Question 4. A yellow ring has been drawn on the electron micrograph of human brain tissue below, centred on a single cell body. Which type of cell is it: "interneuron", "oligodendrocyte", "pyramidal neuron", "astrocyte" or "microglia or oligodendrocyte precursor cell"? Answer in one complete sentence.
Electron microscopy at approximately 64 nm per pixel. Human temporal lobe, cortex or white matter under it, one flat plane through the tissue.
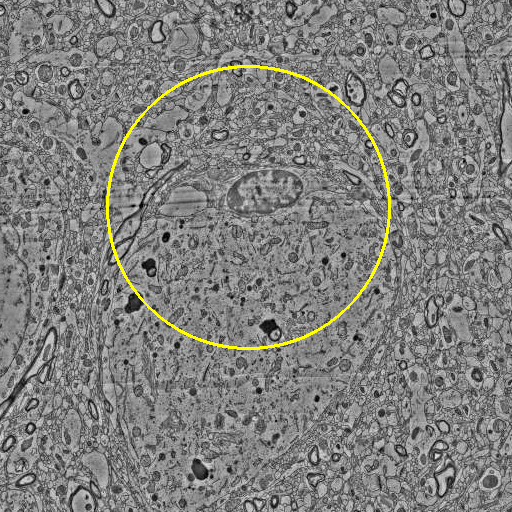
This cell body belongs to a microglial cell or oligodendrocyte precursor cell.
